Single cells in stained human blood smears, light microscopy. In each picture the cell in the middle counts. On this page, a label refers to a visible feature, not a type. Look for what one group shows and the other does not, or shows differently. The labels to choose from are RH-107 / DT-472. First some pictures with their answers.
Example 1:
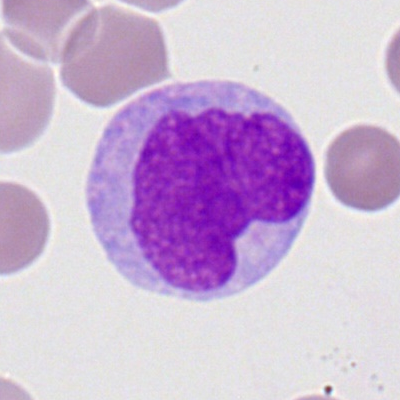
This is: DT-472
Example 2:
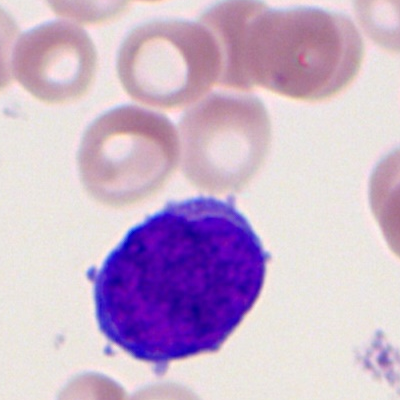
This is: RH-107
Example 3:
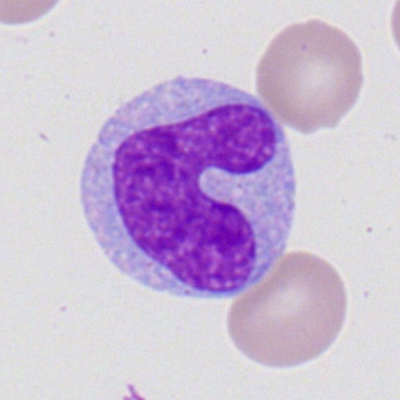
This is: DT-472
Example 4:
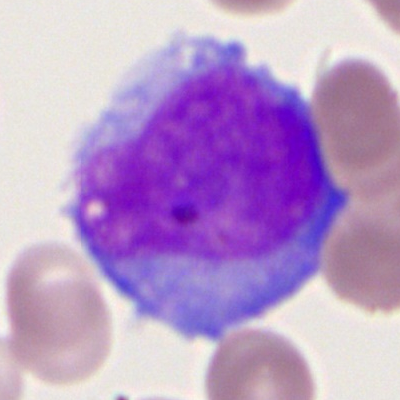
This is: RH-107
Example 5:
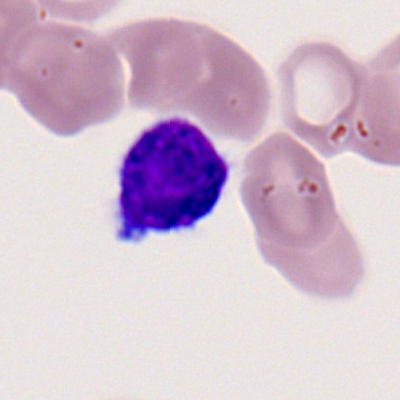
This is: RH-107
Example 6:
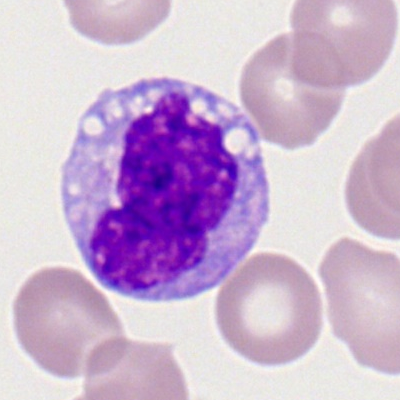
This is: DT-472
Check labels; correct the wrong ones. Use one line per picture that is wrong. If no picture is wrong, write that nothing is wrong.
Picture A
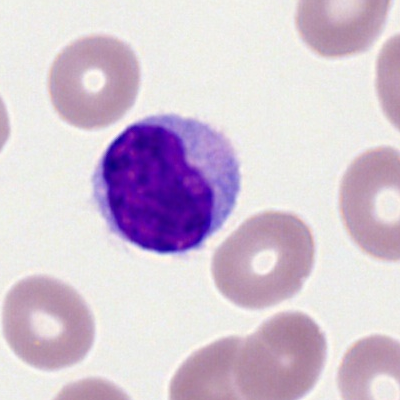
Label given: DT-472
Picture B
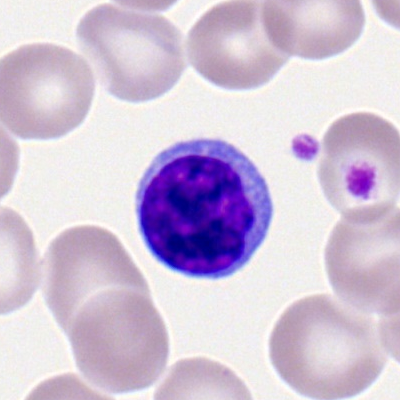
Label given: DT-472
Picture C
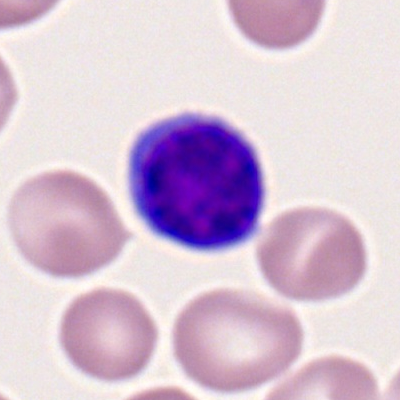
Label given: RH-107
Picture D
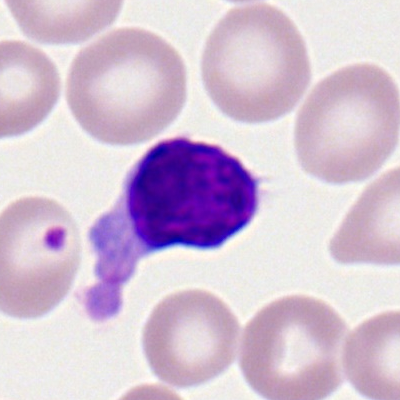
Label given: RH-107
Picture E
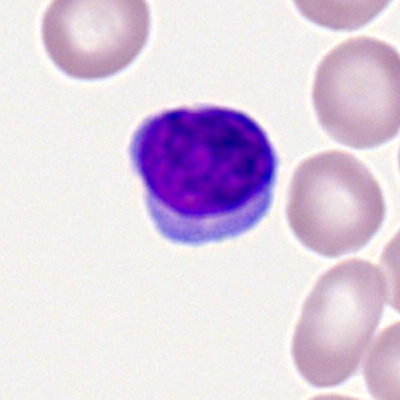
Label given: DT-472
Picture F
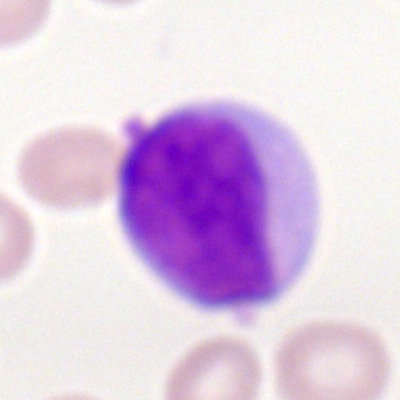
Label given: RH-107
A: not DT-472 but RH-107
C: not RH-107 but DT-472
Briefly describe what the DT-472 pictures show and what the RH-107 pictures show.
Seen in DT-472: smooth outline; seen in RH-107: ragged outline or projections.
